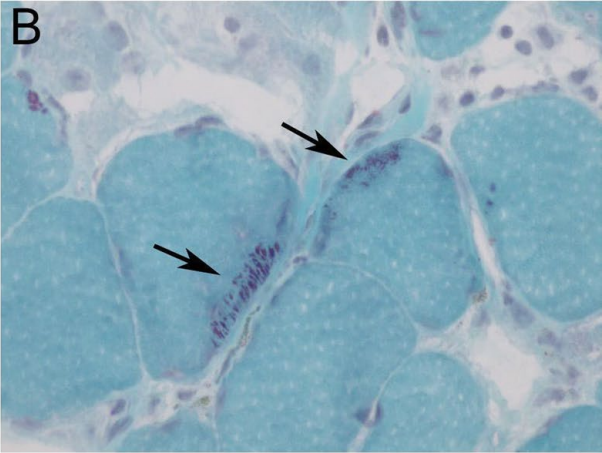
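Skeletal muscle fibers are seen in cross section, with rounded polygonal outlines and blue-green stippled cytoplasm separated by pale connective tissue containing small nuclei. Within some fibers, clusters of small dark purple rod-like granules lie at the edge of the fiber, just beneath its border. The rods are grouped in elongated aggregates rather than spread through the cytoplasm.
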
